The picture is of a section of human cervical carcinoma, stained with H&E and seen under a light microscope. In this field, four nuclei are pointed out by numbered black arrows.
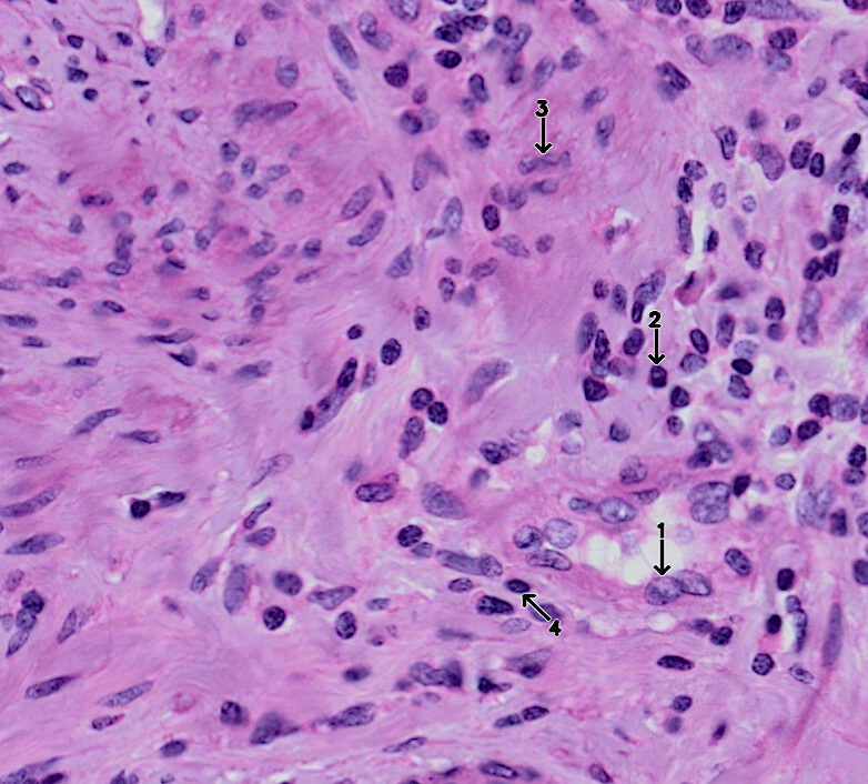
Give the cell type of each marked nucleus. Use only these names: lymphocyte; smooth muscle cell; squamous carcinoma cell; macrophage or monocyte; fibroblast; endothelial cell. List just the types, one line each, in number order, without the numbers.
endothelial cell
lymphocyte
smooth muscle cell
lymphocyte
